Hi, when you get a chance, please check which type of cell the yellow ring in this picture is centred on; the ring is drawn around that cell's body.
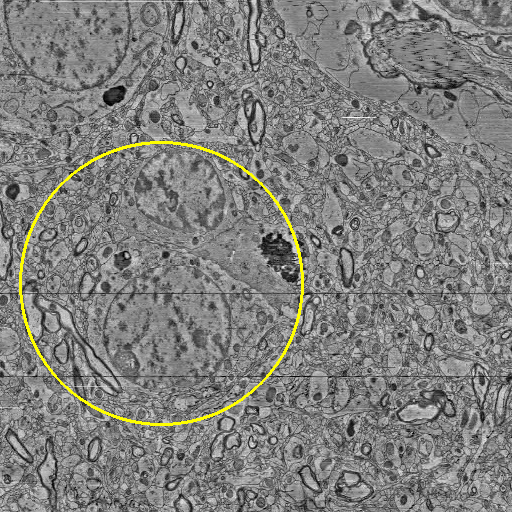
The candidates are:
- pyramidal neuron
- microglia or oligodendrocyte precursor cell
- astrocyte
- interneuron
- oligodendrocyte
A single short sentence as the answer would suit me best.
The ring is drawn around the body of an interneuron.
